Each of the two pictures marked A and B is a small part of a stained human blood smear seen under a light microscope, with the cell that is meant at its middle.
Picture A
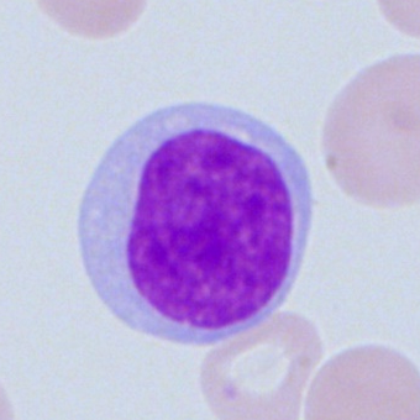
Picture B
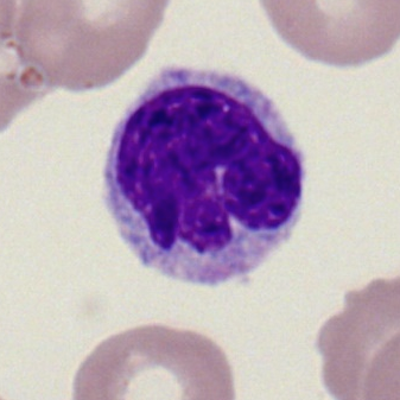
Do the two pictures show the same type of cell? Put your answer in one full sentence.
No. Picture A shows a lymphocyte, but picture B shows a monocyte.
